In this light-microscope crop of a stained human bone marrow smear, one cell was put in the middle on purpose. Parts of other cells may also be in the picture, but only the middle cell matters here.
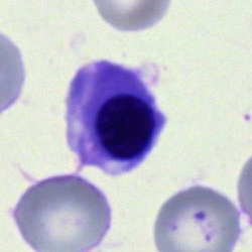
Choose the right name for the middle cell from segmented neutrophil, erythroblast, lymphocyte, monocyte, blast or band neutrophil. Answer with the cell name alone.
erythroblast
